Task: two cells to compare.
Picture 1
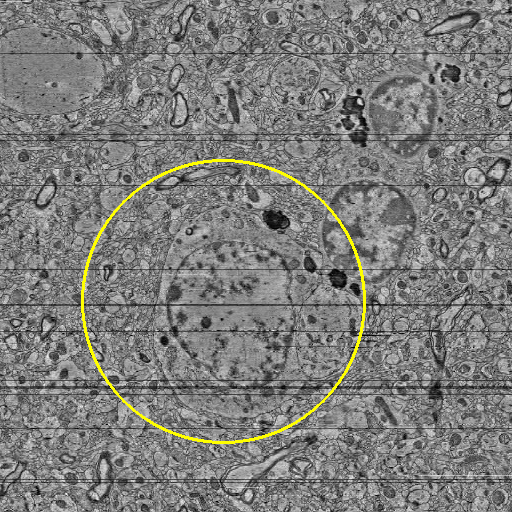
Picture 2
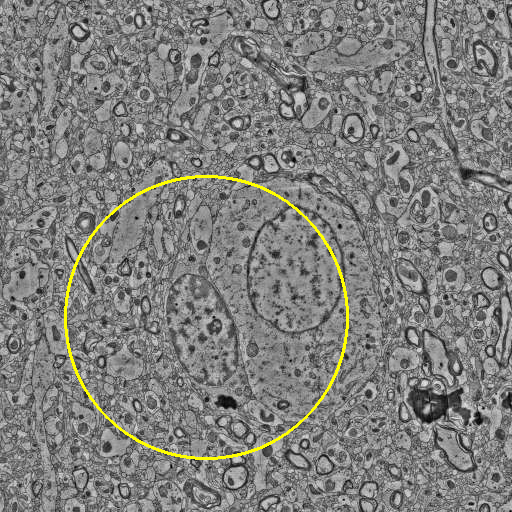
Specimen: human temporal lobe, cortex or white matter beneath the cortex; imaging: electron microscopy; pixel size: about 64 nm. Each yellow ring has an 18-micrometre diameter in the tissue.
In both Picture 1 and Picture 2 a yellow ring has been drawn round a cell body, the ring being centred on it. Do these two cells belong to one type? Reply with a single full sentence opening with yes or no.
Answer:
No, the two cells at the ring centres in Picture 1 and Picture 2 are of two types.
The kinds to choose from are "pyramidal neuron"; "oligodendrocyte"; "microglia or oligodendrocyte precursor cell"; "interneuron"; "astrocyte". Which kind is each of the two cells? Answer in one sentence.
Of the two, the first cell is an interneuron and the second cell is an oligodendrocyte.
